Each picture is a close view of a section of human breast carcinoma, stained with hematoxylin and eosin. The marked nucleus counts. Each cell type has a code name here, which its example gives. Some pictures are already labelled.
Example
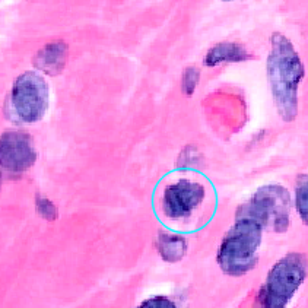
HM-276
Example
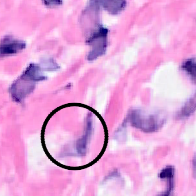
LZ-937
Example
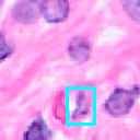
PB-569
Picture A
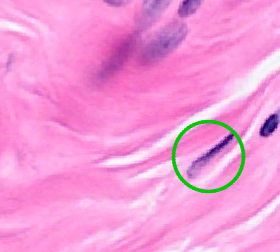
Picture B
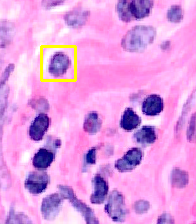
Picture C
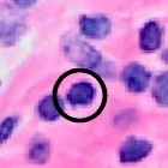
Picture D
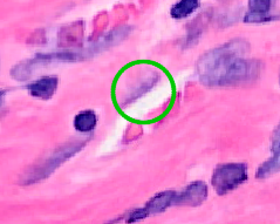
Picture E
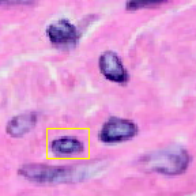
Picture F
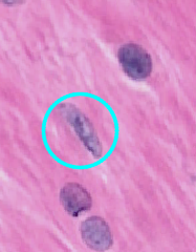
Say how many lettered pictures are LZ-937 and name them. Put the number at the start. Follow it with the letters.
2: A, F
